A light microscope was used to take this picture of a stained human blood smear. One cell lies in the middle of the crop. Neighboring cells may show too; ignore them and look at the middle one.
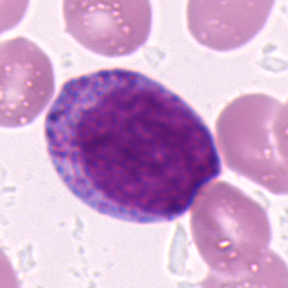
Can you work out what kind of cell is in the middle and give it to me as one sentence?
The cell at the middle of the crop is recognized as a myelocyte.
